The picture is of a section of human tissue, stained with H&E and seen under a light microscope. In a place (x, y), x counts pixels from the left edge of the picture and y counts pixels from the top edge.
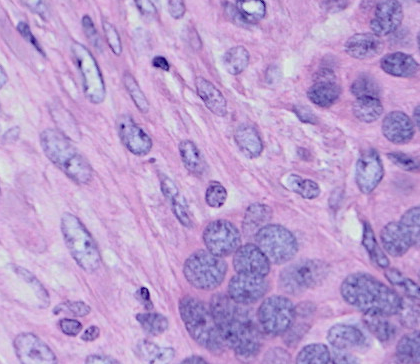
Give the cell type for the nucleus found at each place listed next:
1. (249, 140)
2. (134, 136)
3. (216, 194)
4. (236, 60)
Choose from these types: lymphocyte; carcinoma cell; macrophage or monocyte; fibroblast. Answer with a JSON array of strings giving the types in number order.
["fibroblast", "fibroblast", "macrophage or monocyte", "fibroblast"]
